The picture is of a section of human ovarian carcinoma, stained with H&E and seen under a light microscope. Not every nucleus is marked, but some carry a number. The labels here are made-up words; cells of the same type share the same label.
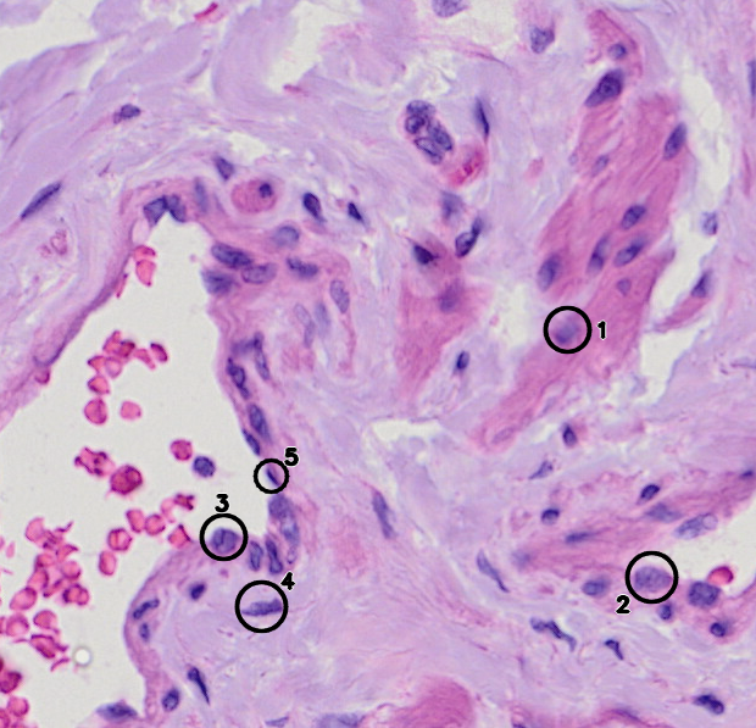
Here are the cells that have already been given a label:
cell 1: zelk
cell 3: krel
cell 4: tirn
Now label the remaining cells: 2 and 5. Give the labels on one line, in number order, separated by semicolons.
krel; krel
